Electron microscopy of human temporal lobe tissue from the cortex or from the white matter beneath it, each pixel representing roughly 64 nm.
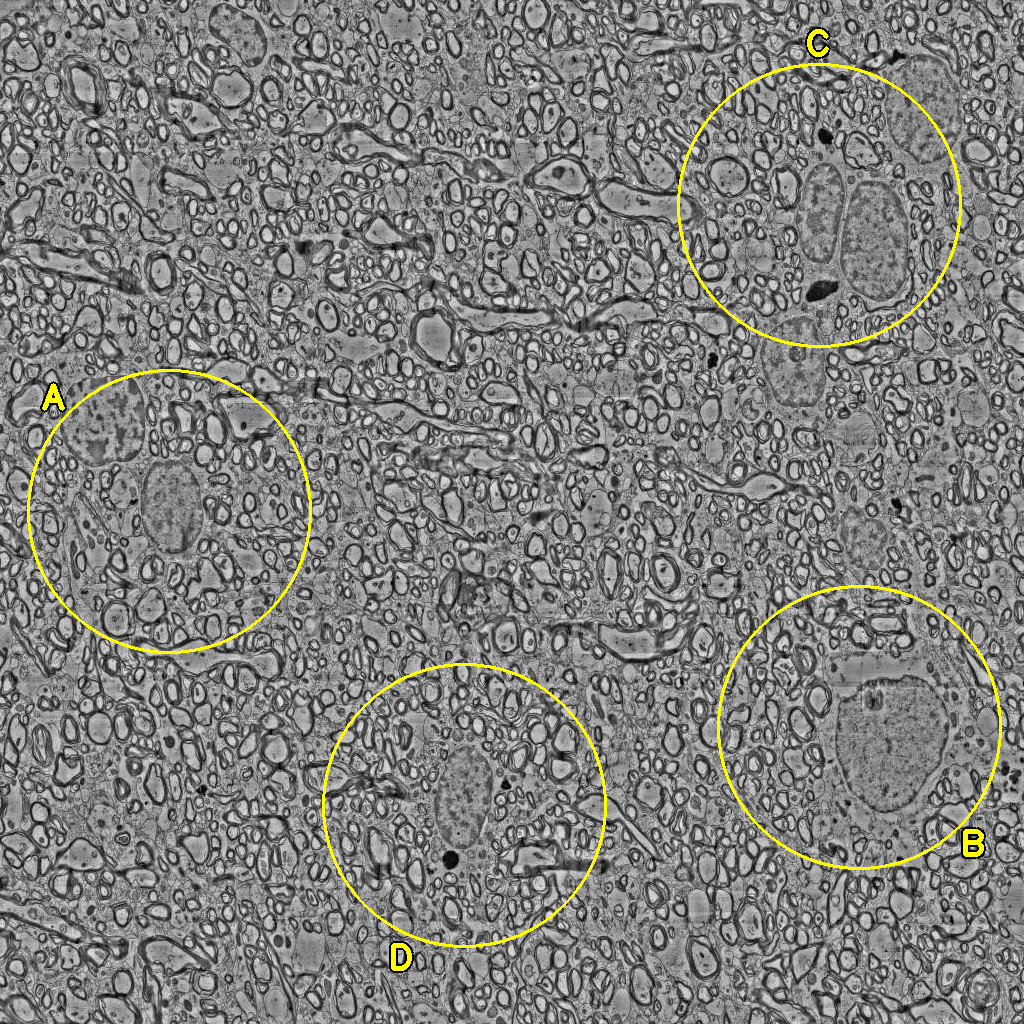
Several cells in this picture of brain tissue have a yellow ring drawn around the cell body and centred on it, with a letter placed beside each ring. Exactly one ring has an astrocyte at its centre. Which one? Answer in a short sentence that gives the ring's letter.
Ring B is centred on it.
